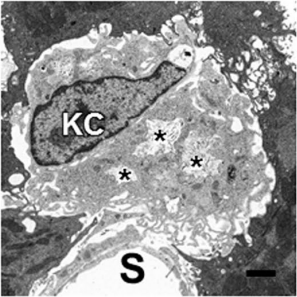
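The nucleus is elongated and irregular, with dense chromatin clumped along the nuclear envelope. The cell outline is irregular with ruffled processes at its surface. Dense surrounding tissue lies on both sides of the cell.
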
